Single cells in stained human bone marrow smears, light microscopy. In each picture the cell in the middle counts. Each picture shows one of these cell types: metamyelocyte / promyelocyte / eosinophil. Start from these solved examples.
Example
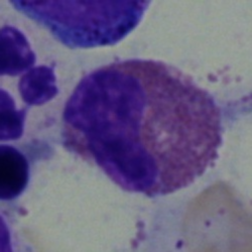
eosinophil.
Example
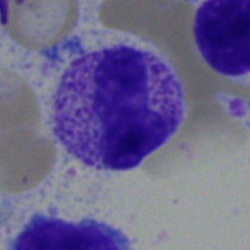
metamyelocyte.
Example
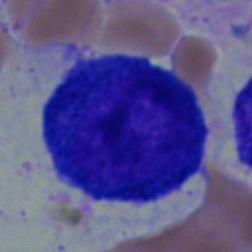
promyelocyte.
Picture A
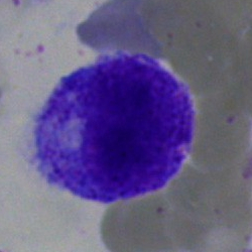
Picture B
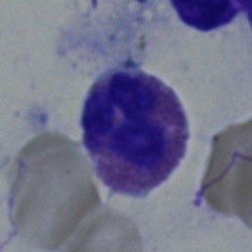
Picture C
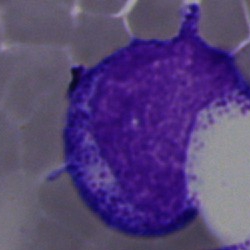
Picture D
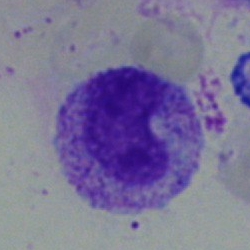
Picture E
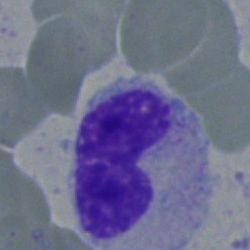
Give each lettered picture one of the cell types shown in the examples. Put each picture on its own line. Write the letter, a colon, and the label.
A: promyelocyte.
B: eosinophil.
C: promyelocyte.
D: metamyelocyte.
E: metamyelocyte.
